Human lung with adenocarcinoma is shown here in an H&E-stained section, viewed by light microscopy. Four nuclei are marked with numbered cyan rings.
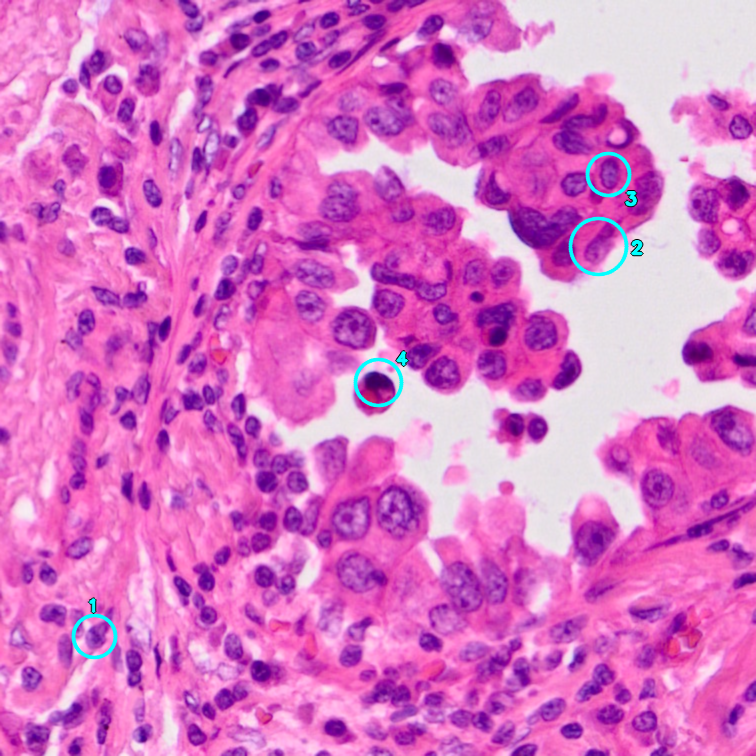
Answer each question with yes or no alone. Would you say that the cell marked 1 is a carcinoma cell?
no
